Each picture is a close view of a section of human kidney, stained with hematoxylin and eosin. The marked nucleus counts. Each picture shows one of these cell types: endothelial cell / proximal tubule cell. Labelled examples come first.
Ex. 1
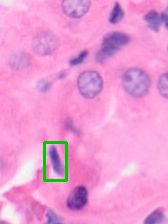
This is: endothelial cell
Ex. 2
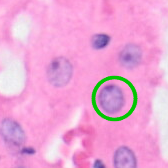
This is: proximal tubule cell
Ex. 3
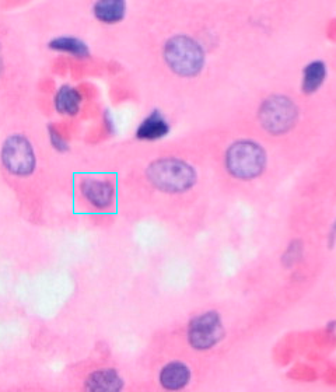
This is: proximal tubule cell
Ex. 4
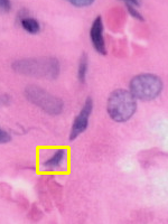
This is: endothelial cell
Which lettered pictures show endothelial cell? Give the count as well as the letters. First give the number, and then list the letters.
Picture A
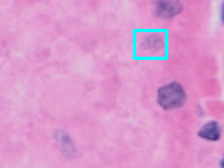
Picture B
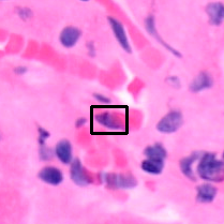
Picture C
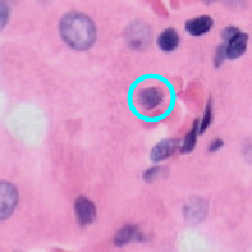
2, namely B, C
